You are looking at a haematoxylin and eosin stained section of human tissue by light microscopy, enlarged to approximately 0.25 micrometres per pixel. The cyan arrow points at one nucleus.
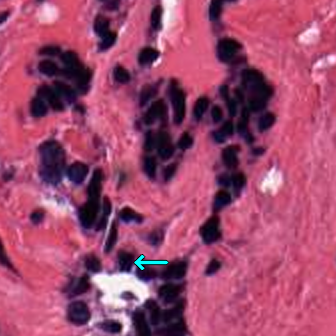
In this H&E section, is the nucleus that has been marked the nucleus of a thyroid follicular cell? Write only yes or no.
yes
